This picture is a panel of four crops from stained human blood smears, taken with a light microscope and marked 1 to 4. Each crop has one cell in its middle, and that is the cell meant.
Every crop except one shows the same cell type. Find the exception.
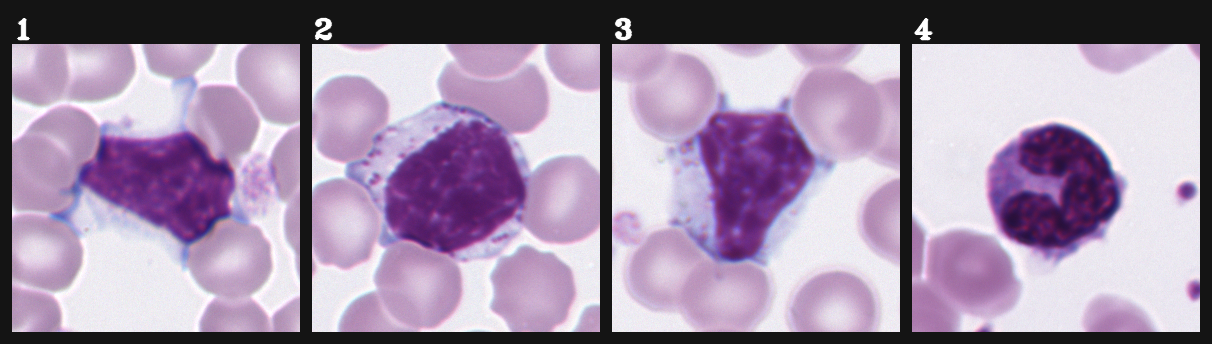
4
